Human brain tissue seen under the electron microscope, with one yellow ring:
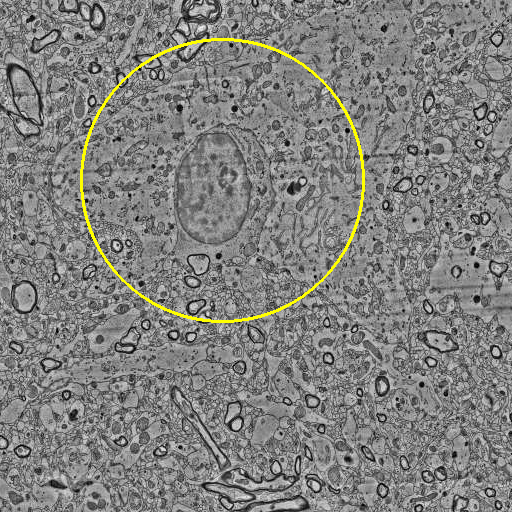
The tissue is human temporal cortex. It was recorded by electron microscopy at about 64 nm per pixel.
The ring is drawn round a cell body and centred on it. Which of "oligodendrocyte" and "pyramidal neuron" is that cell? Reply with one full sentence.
The picture shows an oligodendrocyte at the very centre of the yellow ring.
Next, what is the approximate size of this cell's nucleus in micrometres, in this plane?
About 7 micrometres by about 5 micrometres in this plane.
